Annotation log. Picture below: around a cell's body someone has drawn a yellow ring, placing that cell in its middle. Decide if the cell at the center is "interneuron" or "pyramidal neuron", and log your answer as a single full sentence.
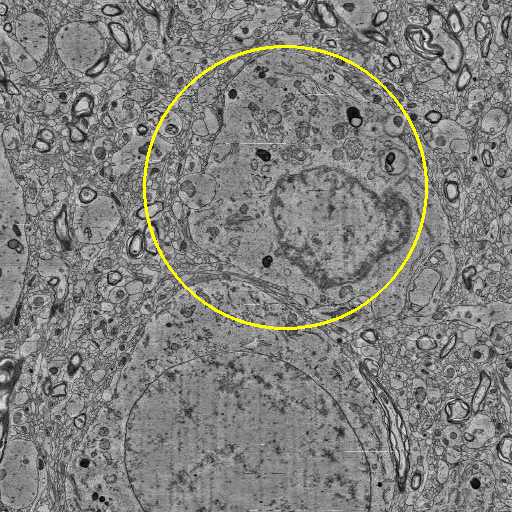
My entry records an interneuron as the cell sitting at the center of the yellow ring.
